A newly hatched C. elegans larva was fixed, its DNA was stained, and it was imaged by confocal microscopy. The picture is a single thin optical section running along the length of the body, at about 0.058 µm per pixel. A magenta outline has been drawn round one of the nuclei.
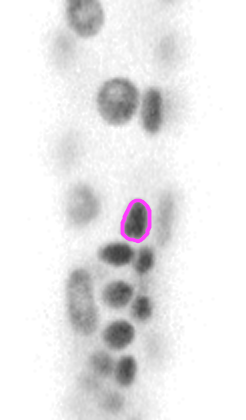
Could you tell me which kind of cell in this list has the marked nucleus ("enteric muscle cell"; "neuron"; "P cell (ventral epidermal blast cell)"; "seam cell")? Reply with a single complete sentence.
The marked nucleus is that of a P cell (ventral epidermal blast cell).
